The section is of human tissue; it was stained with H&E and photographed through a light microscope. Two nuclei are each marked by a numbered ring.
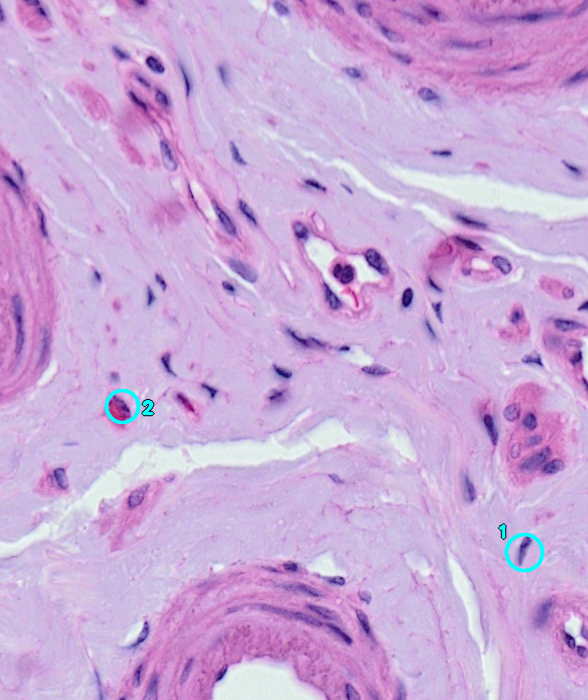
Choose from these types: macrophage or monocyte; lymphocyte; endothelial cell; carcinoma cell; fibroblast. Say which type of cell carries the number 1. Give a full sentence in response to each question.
The nucleus marked 1 is the nucleus of a fibroblast.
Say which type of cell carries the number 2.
The cell numbered 2 represents an endothelial cell.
